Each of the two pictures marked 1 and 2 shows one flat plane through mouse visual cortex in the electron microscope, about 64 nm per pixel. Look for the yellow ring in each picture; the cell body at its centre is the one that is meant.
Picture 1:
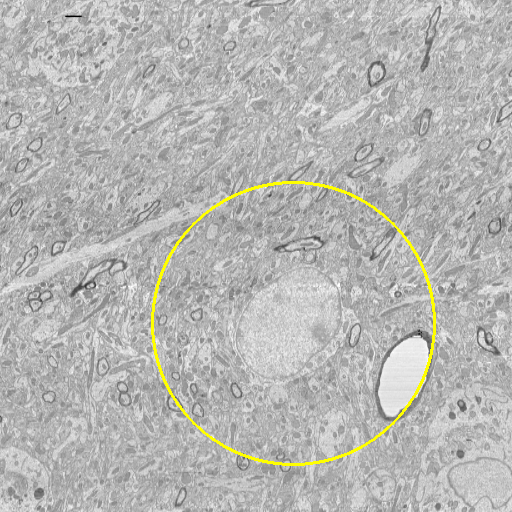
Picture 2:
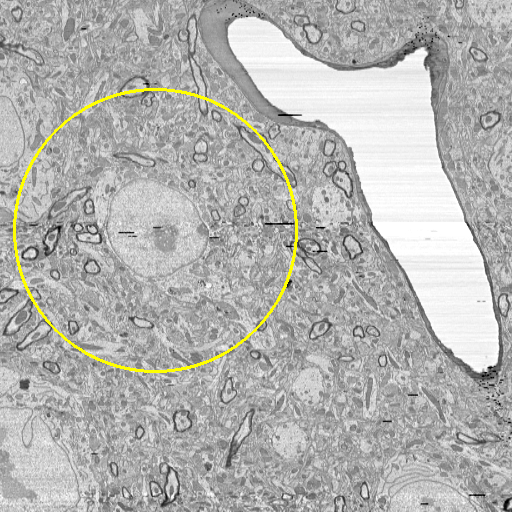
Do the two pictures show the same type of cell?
Yes, both are astrocytes.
